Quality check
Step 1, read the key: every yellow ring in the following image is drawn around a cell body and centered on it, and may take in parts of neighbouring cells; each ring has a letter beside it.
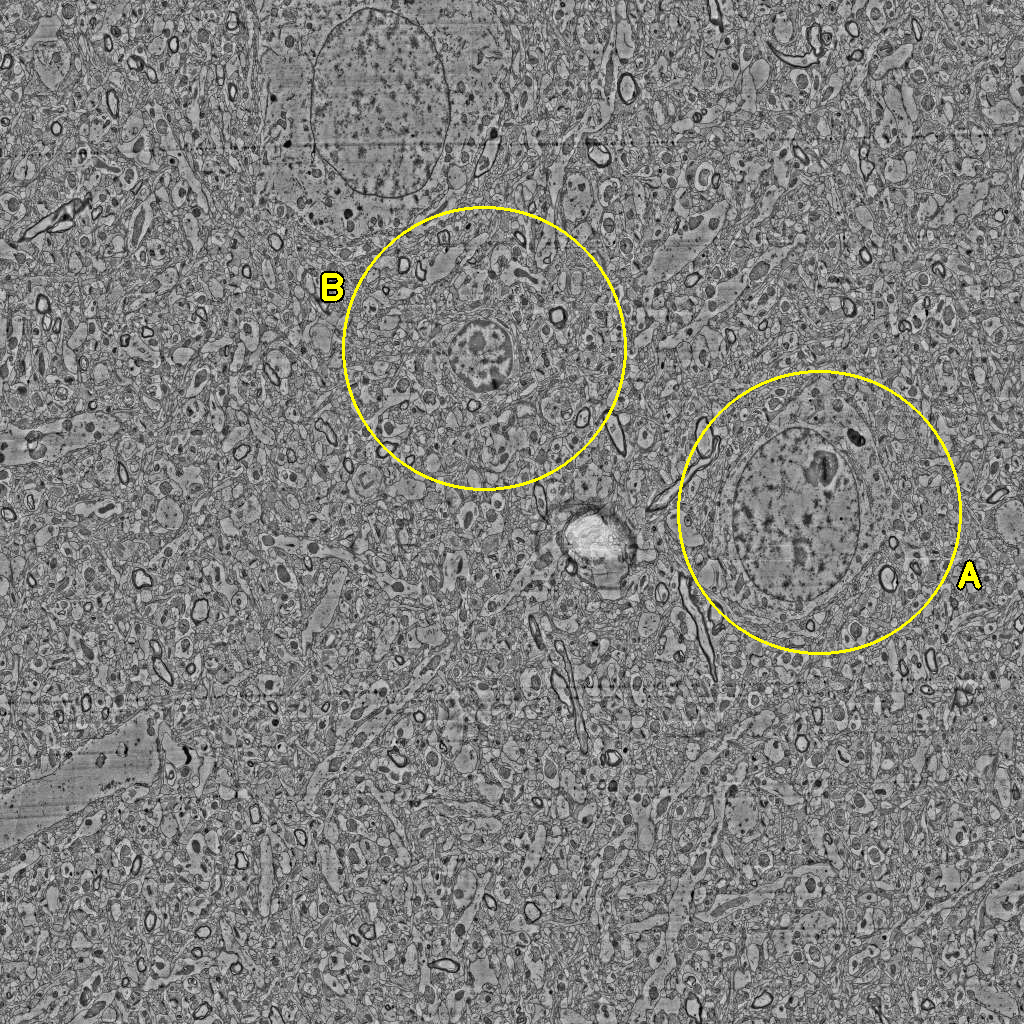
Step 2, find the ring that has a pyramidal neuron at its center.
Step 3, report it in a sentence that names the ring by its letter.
Ring A is centered on that cell.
